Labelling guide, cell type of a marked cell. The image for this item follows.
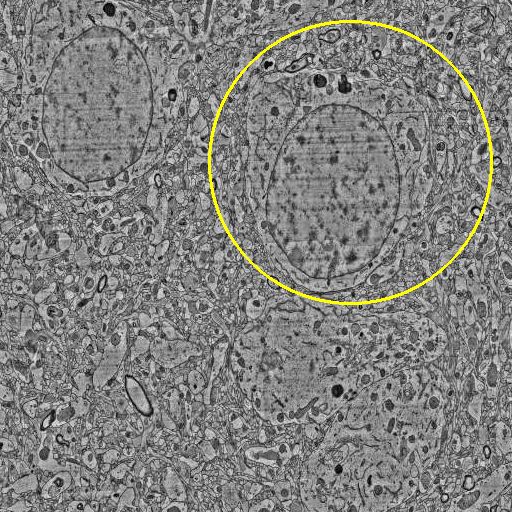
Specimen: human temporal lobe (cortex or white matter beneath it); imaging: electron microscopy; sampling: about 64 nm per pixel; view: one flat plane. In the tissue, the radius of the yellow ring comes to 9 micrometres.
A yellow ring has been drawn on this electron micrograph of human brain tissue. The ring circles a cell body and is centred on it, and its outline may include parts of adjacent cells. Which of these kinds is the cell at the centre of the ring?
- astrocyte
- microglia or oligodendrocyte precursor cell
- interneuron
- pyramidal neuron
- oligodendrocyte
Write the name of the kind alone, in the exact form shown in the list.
pyramidal neuron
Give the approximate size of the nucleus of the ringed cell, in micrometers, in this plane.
Roughly 11 by 9 micrometres is the size of the nucleus in this plane.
